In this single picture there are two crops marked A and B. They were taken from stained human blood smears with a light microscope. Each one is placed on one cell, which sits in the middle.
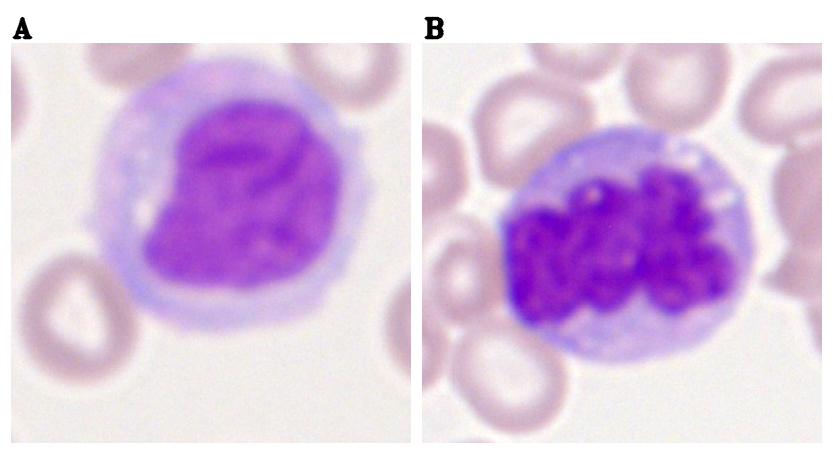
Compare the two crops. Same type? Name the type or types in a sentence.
Yes, the two crops show monocytes, one cell each.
